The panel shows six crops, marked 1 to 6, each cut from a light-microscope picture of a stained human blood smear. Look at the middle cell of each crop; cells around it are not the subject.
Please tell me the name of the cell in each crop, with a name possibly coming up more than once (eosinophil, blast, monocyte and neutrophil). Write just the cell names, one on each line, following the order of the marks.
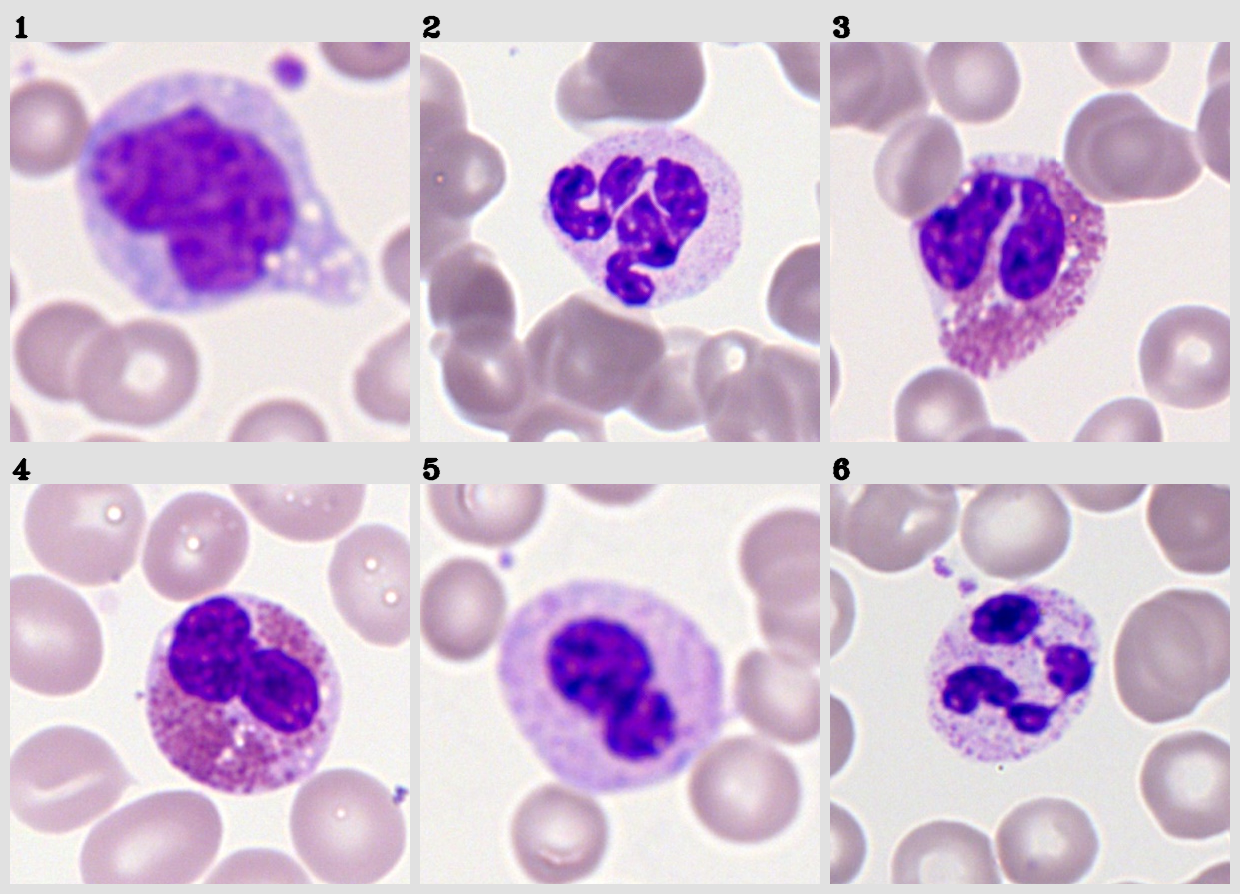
monocyte
neutrophil
eosinophil
eosinophil
neutrophil
neutrophil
